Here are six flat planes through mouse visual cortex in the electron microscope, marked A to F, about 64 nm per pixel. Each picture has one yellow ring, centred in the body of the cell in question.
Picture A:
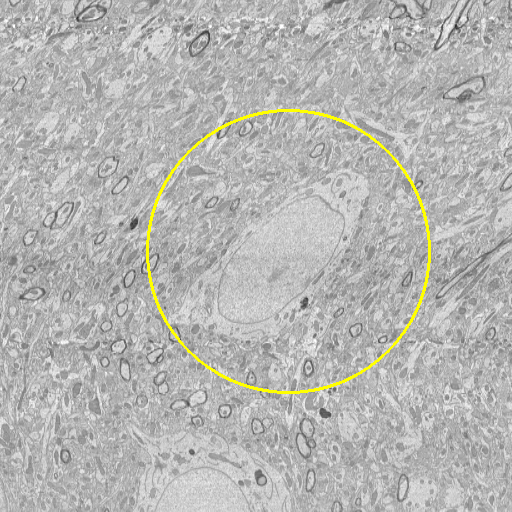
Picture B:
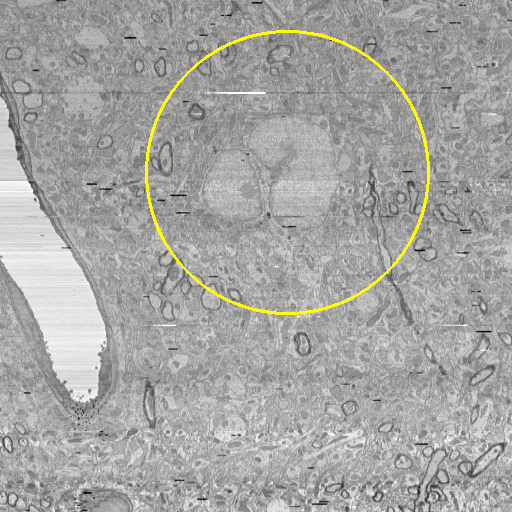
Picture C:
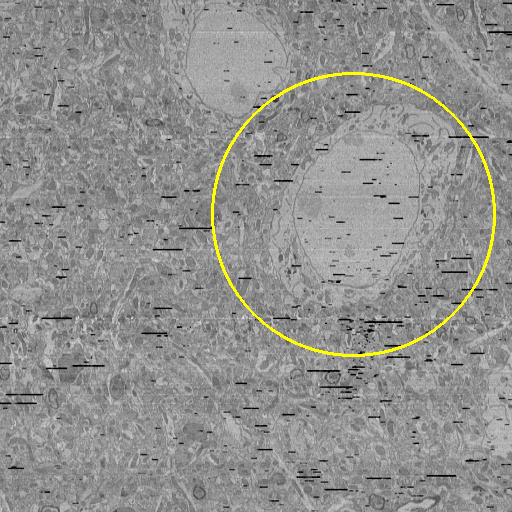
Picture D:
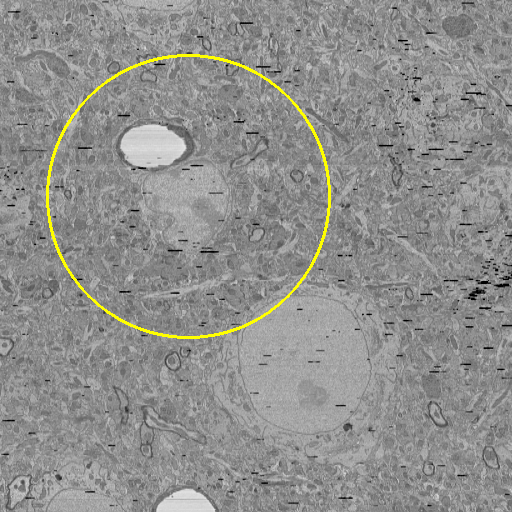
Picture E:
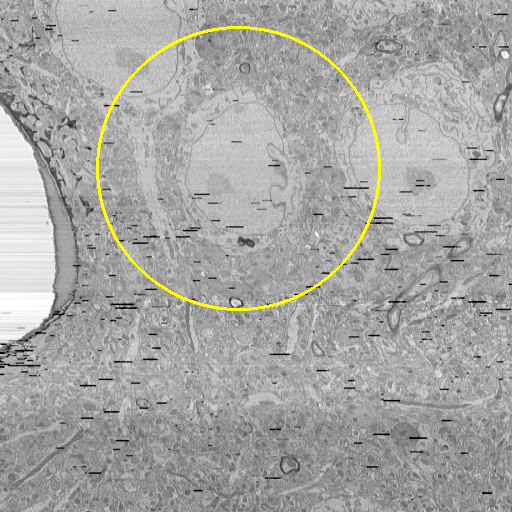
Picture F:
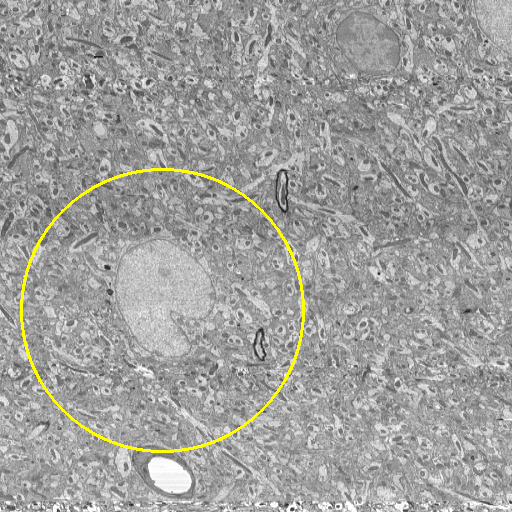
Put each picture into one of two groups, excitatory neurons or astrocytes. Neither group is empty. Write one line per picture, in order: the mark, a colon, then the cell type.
A: excitatory neuron
B: astrocyte
C: excitatory neuron
D: astrocyte
E: excitatory neuron
F: astrocyte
